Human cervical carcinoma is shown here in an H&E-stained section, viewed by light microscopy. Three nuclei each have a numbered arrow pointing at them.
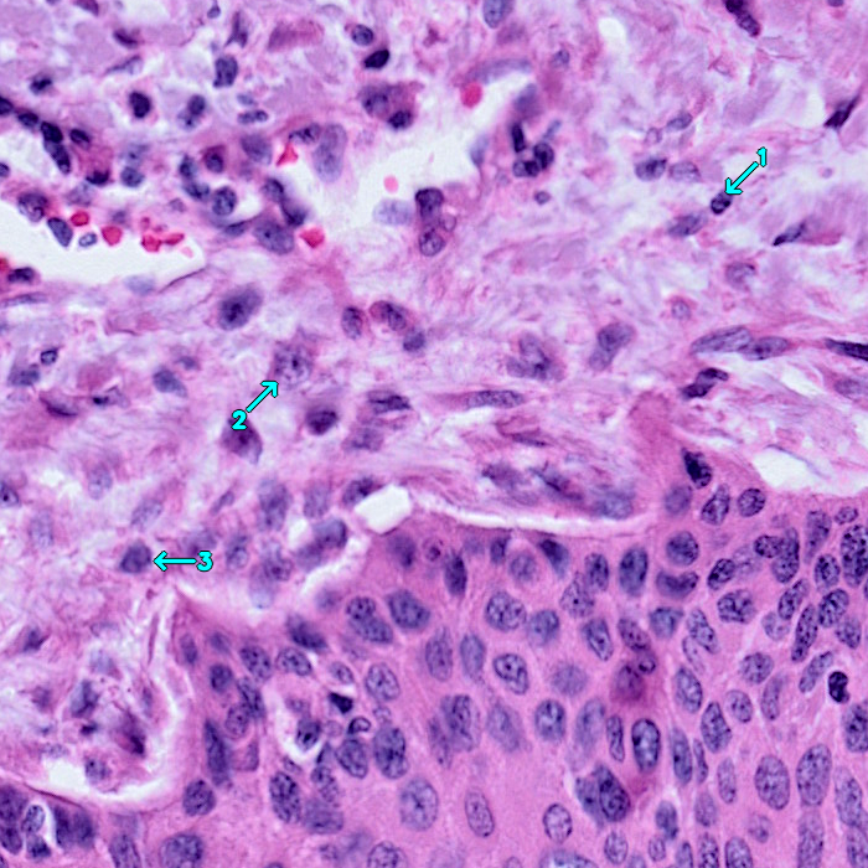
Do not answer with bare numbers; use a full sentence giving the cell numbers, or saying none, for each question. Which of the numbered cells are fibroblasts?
No marked cell except number 2 is a fibroblast.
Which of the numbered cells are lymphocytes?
Cell 1 is a lymphocyte, and that holds for no other numbered cell.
